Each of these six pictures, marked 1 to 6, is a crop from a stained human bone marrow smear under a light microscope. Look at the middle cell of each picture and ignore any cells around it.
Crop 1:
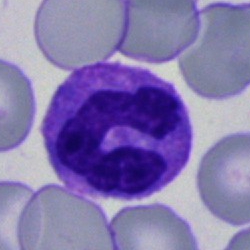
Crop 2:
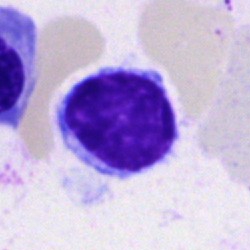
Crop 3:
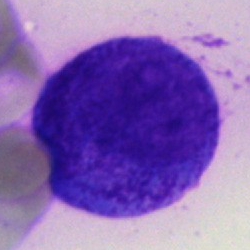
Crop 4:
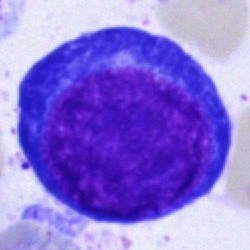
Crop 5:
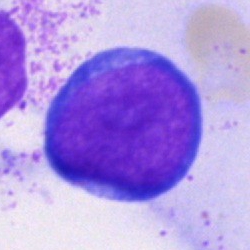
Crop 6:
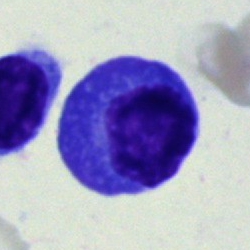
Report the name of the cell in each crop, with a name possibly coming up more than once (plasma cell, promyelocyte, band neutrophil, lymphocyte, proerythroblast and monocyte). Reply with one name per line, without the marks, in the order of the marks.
band neutrophil
lymphocyte
promyelocyte
proerythroblast
proerythroblast
plasma cell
